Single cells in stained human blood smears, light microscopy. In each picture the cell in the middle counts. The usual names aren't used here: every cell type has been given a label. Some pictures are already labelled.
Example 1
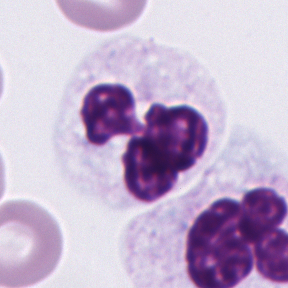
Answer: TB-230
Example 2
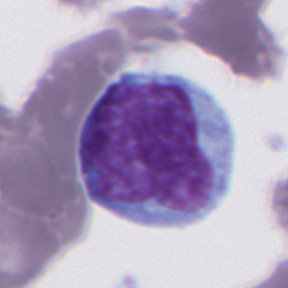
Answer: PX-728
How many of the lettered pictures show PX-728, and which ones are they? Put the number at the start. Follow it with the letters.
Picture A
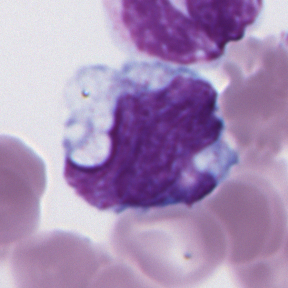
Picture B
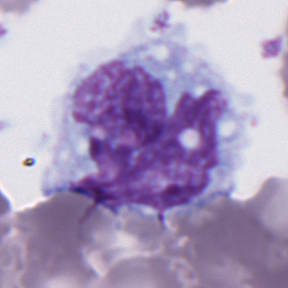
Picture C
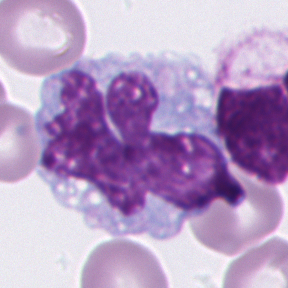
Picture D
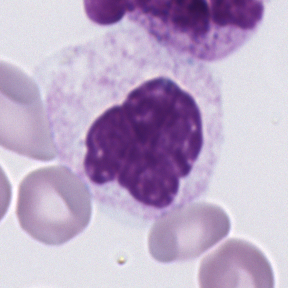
3, namely A, B, C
